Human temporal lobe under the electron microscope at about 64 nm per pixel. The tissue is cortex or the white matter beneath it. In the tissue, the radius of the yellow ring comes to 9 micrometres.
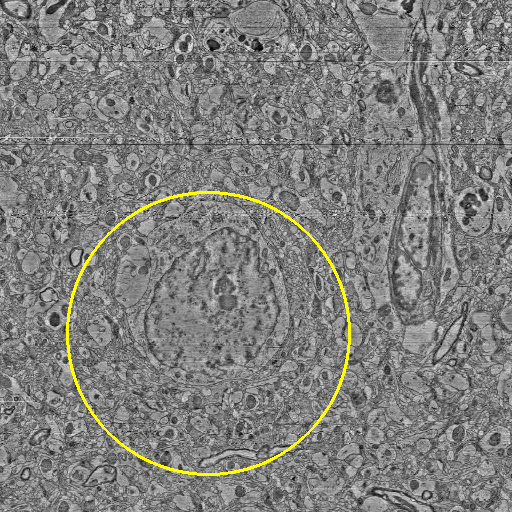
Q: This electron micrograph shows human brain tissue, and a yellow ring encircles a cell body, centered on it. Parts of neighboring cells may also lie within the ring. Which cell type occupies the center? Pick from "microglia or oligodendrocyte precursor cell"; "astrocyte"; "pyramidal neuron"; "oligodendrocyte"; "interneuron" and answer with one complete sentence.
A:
What sits at the ring's center in this micrograph is an interneuron, among those choices.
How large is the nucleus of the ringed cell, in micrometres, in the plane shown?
The nucleus is approximately 10 micrometers long by 8 micrometers wide in this plane.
